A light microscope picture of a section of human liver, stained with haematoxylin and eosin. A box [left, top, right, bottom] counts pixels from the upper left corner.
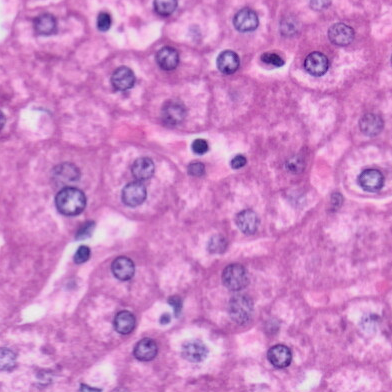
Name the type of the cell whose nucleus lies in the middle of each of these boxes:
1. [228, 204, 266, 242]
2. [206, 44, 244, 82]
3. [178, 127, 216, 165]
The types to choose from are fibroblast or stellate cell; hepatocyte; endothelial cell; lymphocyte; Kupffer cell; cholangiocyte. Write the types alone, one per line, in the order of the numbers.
hepatocyte
hepatocyte
lymphocyte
